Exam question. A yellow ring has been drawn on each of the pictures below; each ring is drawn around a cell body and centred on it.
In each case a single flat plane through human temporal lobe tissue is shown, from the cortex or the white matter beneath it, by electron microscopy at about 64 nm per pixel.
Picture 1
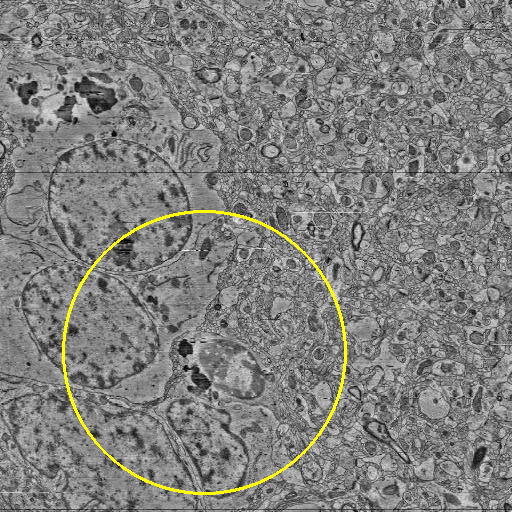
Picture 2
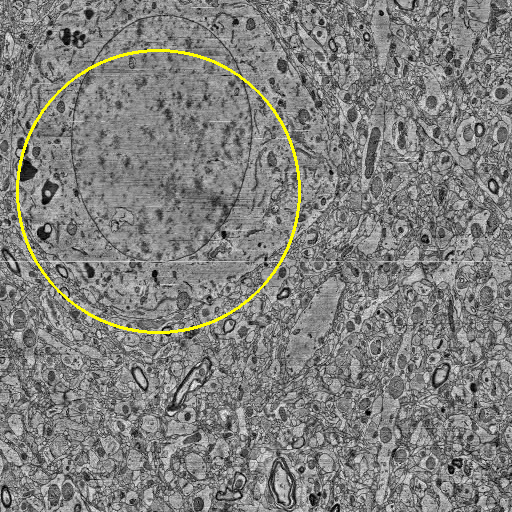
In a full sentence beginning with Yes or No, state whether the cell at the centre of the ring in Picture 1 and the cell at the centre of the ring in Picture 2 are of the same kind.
No, the cells are of two kinds.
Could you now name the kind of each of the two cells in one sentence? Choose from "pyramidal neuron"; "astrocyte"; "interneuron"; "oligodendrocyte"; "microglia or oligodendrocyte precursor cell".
The first ring encloses an oligodendrocyte; the second ring encloses a pyramidal neuron.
